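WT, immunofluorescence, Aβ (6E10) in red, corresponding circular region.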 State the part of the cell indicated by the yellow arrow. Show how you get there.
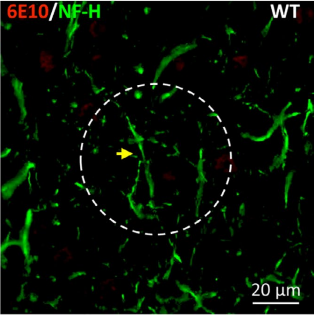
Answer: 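The arrow points to a thin, long green fibre. Continuous green fibres run across the dashed circle. So: axons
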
